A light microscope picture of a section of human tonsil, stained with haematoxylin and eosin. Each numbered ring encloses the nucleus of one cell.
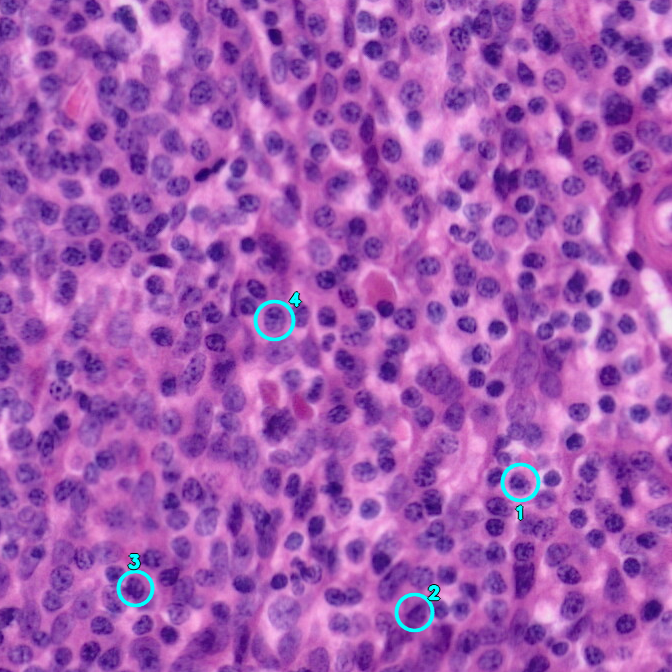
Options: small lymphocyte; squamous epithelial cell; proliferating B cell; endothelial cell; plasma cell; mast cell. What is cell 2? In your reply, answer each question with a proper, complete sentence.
Number 2 among the marked cells is a squamous epithelial cell.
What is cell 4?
At number 4, the marked cell is a plasma cell.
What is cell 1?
Number 1 among the marked cells is a plasma cell.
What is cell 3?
The marked nucleus 3 is that of a plasma cell.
